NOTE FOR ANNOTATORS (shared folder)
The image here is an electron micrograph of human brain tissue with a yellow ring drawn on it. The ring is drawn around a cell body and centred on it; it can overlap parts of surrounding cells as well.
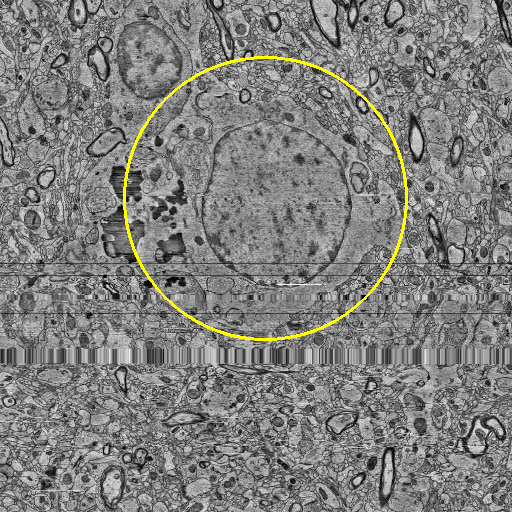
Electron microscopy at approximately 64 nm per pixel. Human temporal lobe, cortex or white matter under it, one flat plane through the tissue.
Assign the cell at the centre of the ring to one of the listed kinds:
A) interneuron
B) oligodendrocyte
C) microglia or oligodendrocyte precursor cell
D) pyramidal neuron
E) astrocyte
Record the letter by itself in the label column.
E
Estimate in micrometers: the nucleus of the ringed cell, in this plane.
The ringed cell's nucleus is about 10 micrometres across in this plane.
